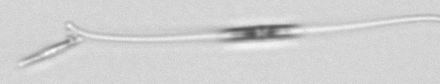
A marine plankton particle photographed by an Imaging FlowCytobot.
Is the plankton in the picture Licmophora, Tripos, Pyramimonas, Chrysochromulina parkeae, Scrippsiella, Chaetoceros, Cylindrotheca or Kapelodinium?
It is Cylindrotheca.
